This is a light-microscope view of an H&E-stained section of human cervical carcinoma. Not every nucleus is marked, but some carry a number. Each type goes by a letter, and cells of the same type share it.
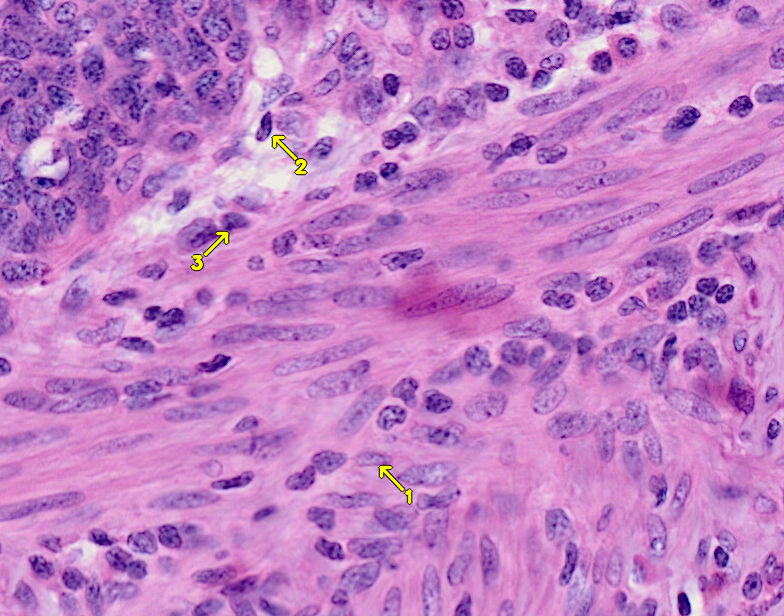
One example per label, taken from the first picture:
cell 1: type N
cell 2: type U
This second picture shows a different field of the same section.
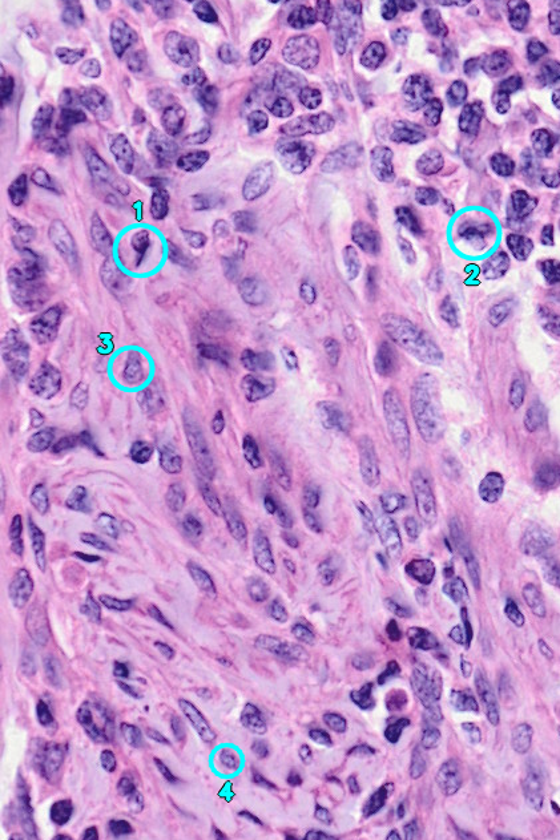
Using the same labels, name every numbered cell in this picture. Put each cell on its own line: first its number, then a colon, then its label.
1: type U
2: type U
3: type N
4: type N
